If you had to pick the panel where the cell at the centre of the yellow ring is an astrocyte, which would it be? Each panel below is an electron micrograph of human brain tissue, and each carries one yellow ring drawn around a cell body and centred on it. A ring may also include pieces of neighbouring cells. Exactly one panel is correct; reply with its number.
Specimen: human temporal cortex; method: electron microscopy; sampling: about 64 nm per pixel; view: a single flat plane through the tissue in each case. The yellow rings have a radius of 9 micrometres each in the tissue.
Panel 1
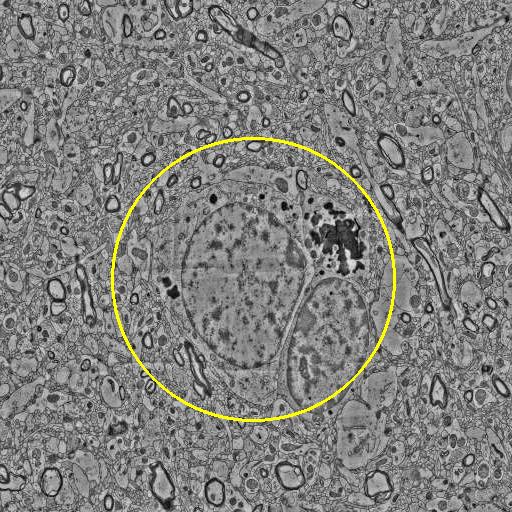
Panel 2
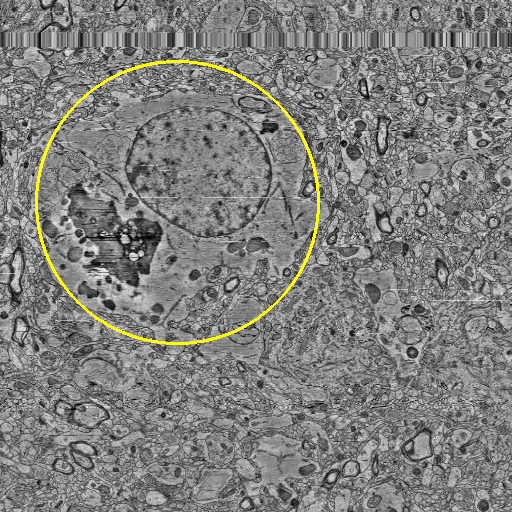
2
